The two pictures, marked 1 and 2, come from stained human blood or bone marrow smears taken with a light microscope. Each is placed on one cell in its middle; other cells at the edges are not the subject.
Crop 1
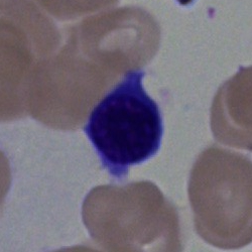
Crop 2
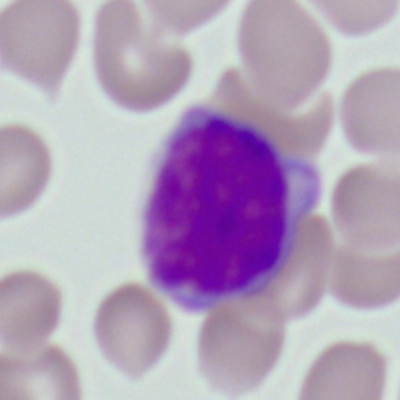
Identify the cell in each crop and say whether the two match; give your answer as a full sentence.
No, crop 1 gives us a lymphocyte and crop 2 gives us a blast.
